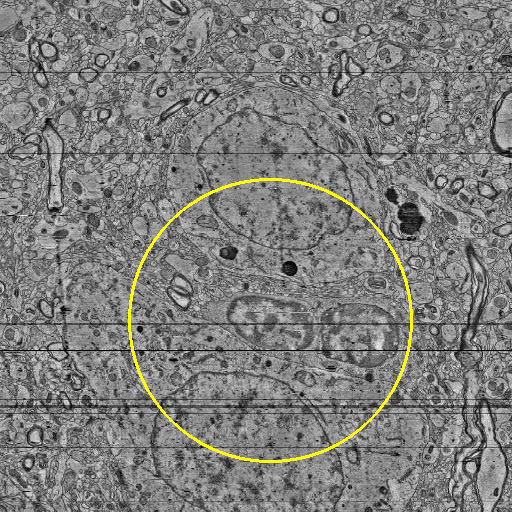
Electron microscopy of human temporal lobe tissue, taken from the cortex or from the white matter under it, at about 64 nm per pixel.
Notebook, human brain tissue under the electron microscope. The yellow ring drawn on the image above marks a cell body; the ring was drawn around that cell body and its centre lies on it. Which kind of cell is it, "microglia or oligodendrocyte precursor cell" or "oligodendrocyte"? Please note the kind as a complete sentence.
The marked cell body is that of an oligodendrocyte.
